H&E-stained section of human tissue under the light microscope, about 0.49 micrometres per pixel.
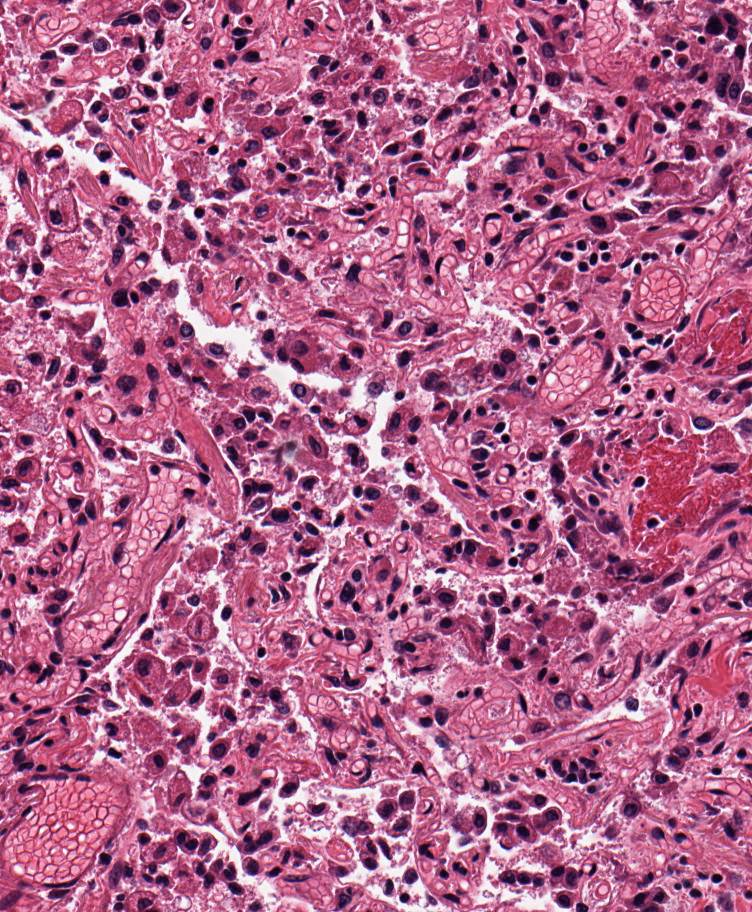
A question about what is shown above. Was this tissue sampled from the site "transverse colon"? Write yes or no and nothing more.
no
